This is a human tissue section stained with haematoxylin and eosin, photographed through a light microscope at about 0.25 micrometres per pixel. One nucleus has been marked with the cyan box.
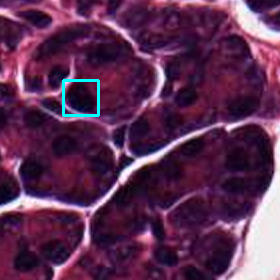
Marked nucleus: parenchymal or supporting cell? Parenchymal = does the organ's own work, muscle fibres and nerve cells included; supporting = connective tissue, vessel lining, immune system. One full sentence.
The marked nucleus is owned by a parenchymal cell, in this case a pancreatic acinar cell.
